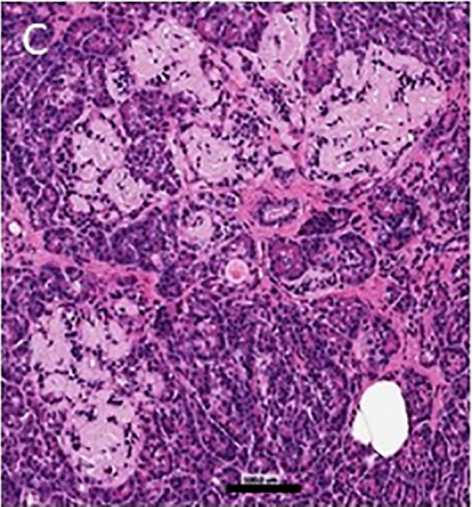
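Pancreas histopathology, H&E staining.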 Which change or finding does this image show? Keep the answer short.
Islet amyloidosis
